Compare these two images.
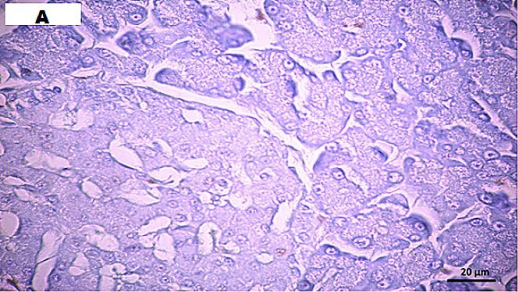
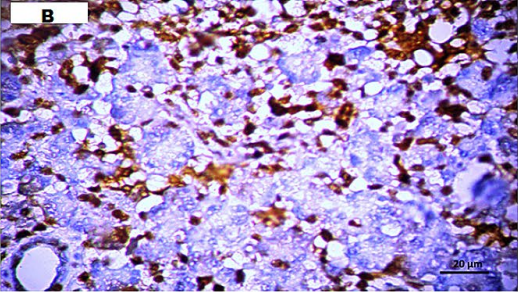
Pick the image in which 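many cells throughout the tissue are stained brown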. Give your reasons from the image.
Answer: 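Second image: dense dark brown staining in many cells scattered throughout the field. First image: tissue is blue-purple throughout with no evident brown staining.
Conclusion: the second image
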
